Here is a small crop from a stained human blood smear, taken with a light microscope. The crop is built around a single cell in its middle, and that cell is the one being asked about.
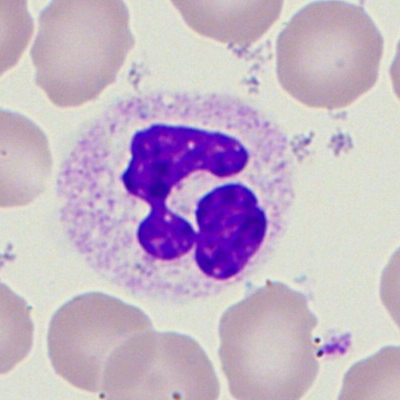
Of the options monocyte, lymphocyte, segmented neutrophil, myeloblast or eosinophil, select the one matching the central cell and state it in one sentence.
Positioned in the middle of the crop is a segmented neutrophil.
